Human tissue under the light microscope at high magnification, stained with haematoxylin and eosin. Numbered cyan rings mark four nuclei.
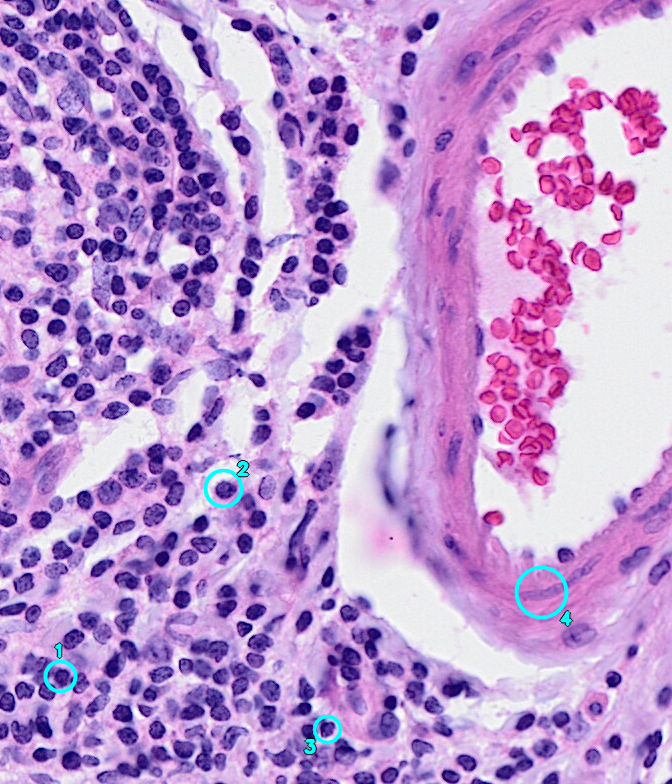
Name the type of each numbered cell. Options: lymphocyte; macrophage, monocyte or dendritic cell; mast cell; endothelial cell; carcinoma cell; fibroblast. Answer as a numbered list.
1. lymphocyte
2. lymphocyte
3. lymphocyte
4. endothelial cell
